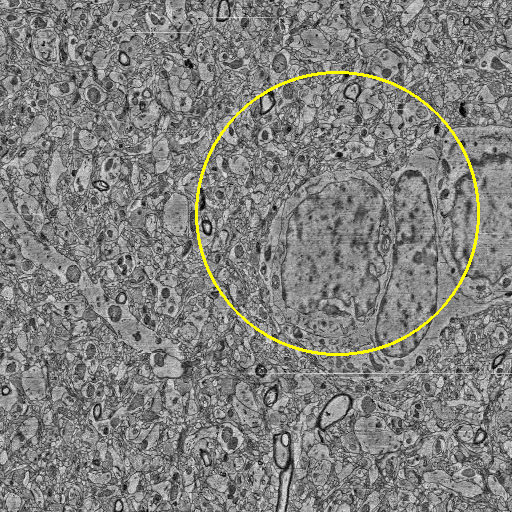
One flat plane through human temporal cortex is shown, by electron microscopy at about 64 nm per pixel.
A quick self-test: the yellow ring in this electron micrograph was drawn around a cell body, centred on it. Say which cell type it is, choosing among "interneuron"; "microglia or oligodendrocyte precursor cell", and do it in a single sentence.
The yellow-ringed cell is an interneuron.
